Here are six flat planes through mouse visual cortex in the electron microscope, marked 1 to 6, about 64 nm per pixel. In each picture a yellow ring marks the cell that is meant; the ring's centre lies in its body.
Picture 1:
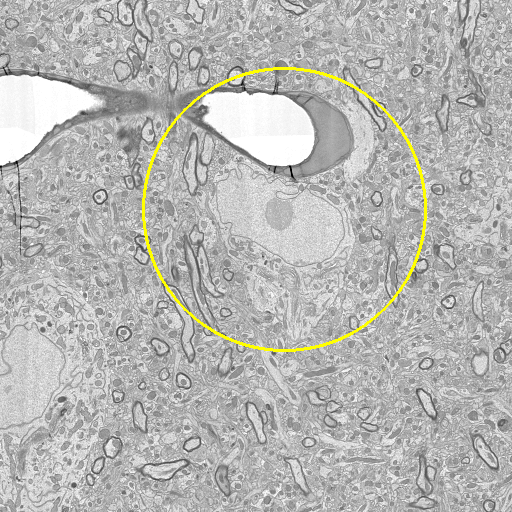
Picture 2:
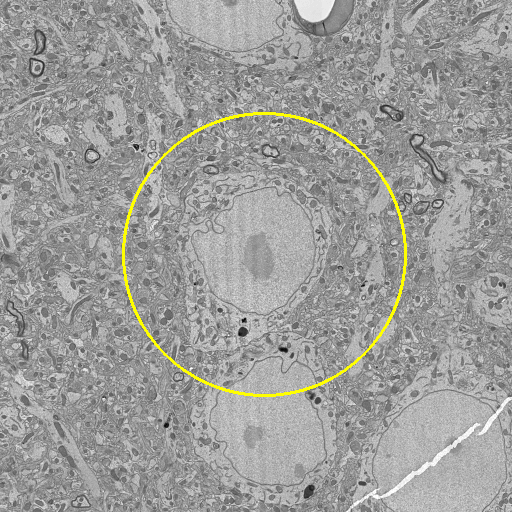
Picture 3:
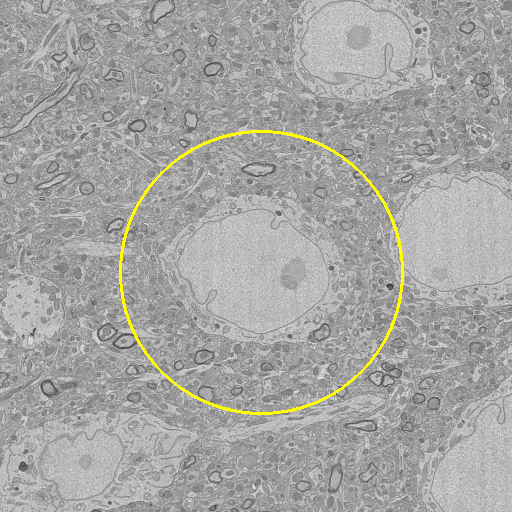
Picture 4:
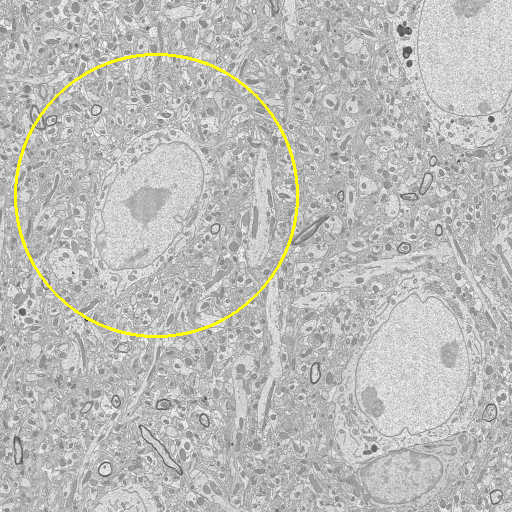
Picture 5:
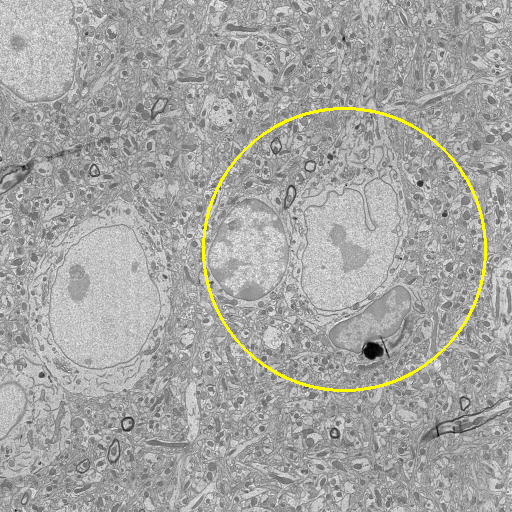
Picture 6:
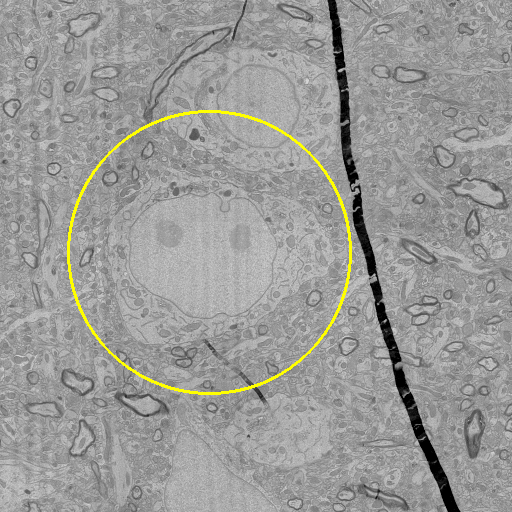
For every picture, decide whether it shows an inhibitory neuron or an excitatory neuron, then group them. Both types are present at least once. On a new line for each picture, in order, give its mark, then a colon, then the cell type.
1: inhibitory neuron
2: inhibitory neuron
3: excitatory neuron
4: inhibitory neuron
5: inhibitory neuron
6: excitatory neuron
